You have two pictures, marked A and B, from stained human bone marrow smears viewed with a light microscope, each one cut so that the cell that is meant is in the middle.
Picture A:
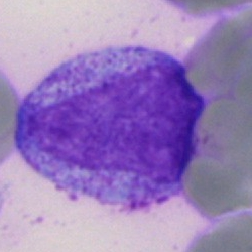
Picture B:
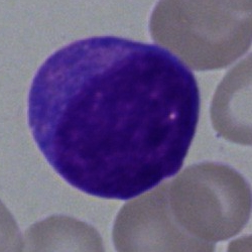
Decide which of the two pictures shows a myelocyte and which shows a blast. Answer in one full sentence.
Picture A shows a myelocyte and picture B shows a blast.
